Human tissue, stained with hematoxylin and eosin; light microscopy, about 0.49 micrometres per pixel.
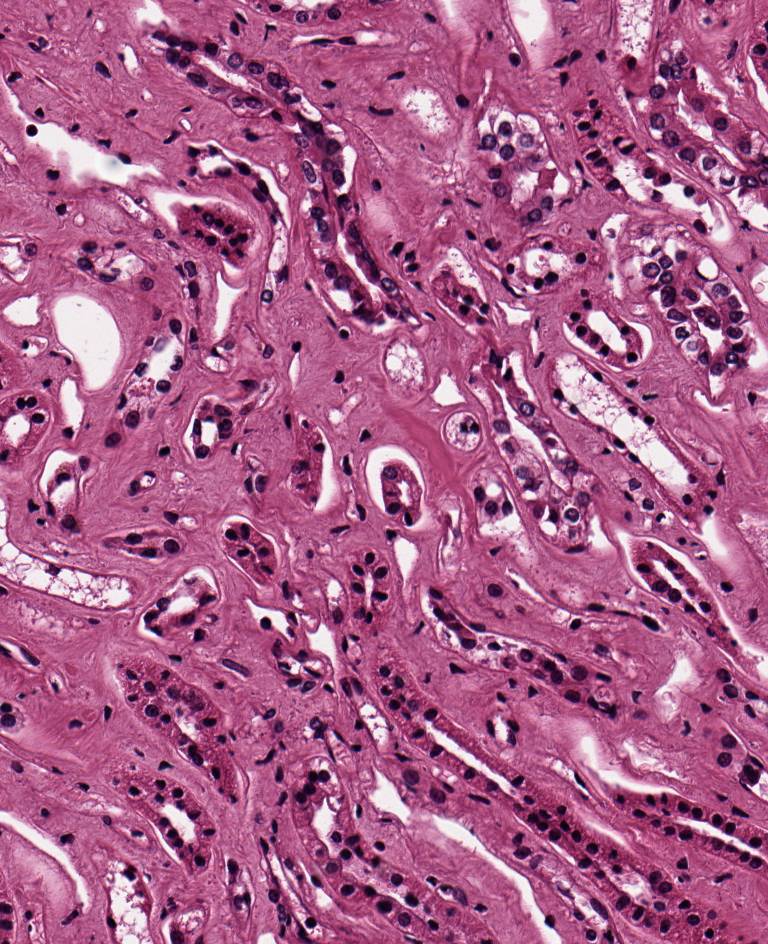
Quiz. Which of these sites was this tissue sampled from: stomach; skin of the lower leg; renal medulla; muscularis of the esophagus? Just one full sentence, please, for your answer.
The tissue sectioned for this slide came from the renal medulla.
